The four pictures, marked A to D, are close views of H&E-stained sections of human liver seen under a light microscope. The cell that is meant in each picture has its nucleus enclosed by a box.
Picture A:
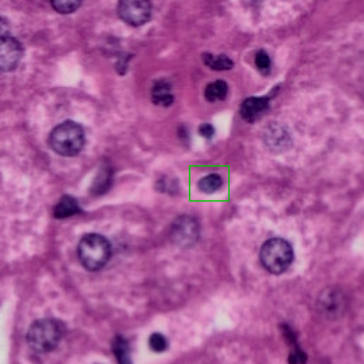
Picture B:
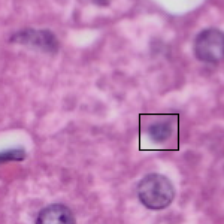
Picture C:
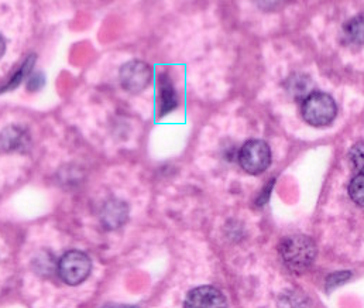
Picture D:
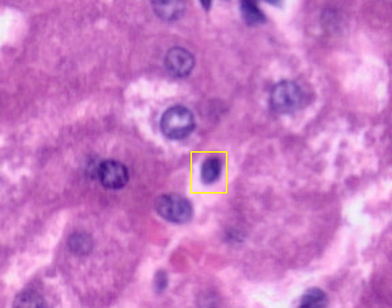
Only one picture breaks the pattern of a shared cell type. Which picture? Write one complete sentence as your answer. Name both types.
All pictures except C show lymphocytes; picture C shows a “fibroblast or stellate cell”.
